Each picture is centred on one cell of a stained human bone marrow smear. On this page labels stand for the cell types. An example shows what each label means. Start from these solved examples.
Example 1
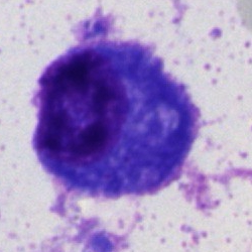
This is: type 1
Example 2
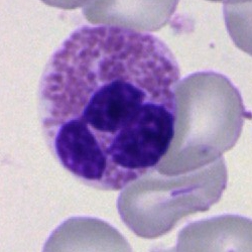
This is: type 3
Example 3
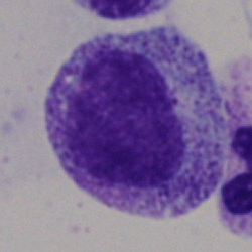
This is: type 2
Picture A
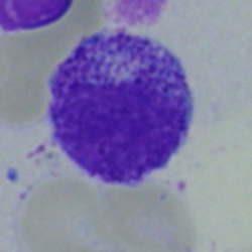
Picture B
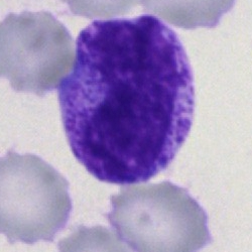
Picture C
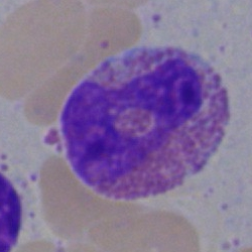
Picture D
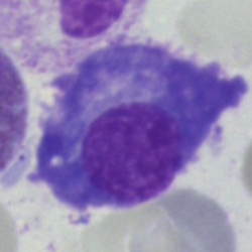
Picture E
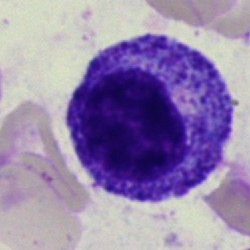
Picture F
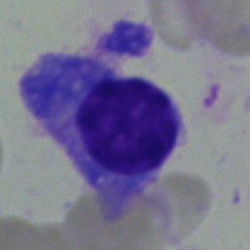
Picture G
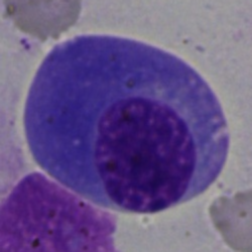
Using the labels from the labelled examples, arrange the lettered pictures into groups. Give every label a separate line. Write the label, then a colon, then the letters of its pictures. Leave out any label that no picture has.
type 1: D, F, G
type 3: C
type 2: A, B, E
